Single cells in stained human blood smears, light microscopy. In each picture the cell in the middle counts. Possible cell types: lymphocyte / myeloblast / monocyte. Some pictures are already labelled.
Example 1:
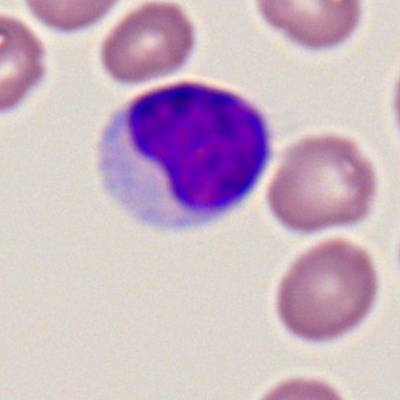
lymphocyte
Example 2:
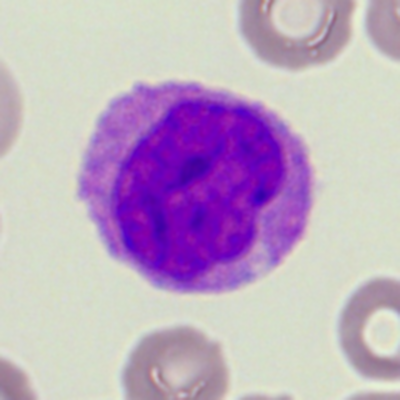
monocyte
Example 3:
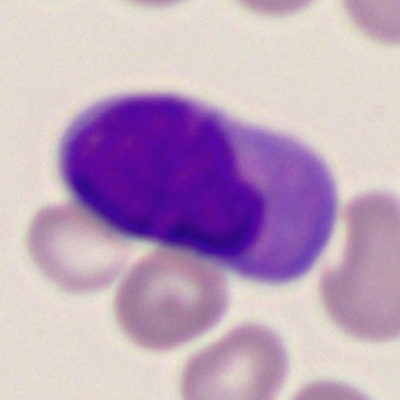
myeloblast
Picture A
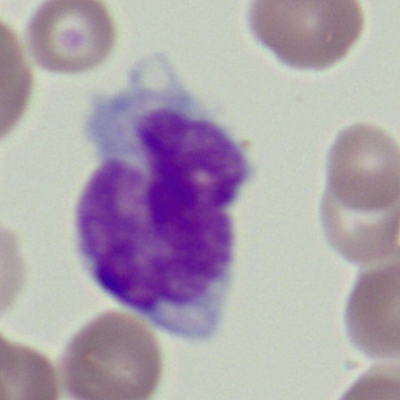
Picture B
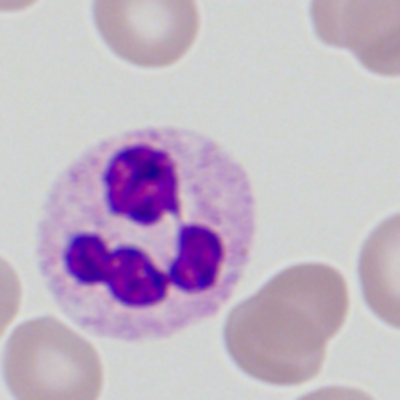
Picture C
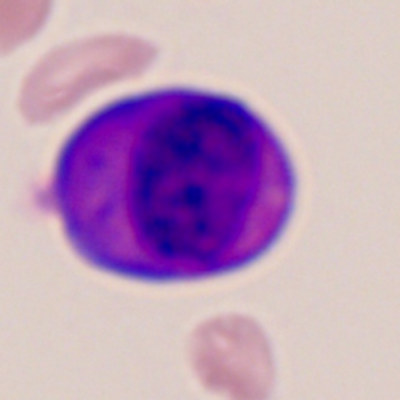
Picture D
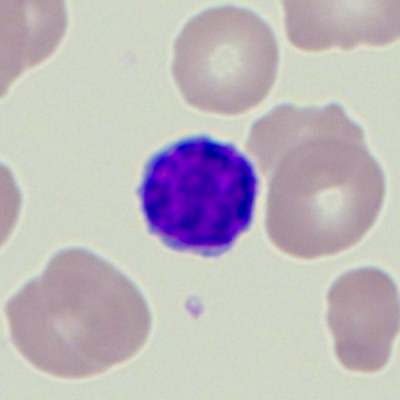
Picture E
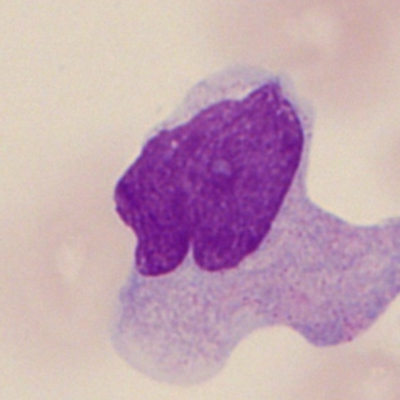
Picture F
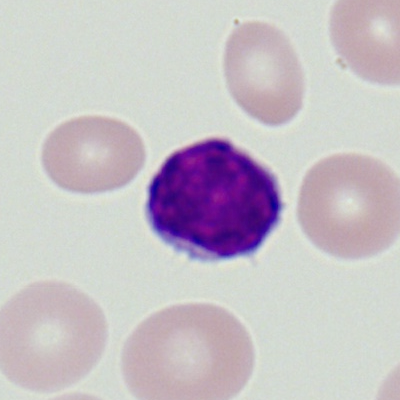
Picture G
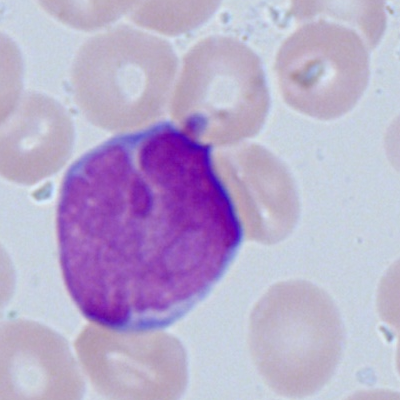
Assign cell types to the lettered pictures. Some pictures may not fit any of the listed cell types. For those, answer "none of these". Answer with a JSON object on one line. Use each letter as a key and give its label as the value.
{"A": "monocyte", "B": "none of these", "C": "myeloblast", "D": "lymphocyte", "E": "monocyte", "F": "lymphocyte", "G": "myeloblast"}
